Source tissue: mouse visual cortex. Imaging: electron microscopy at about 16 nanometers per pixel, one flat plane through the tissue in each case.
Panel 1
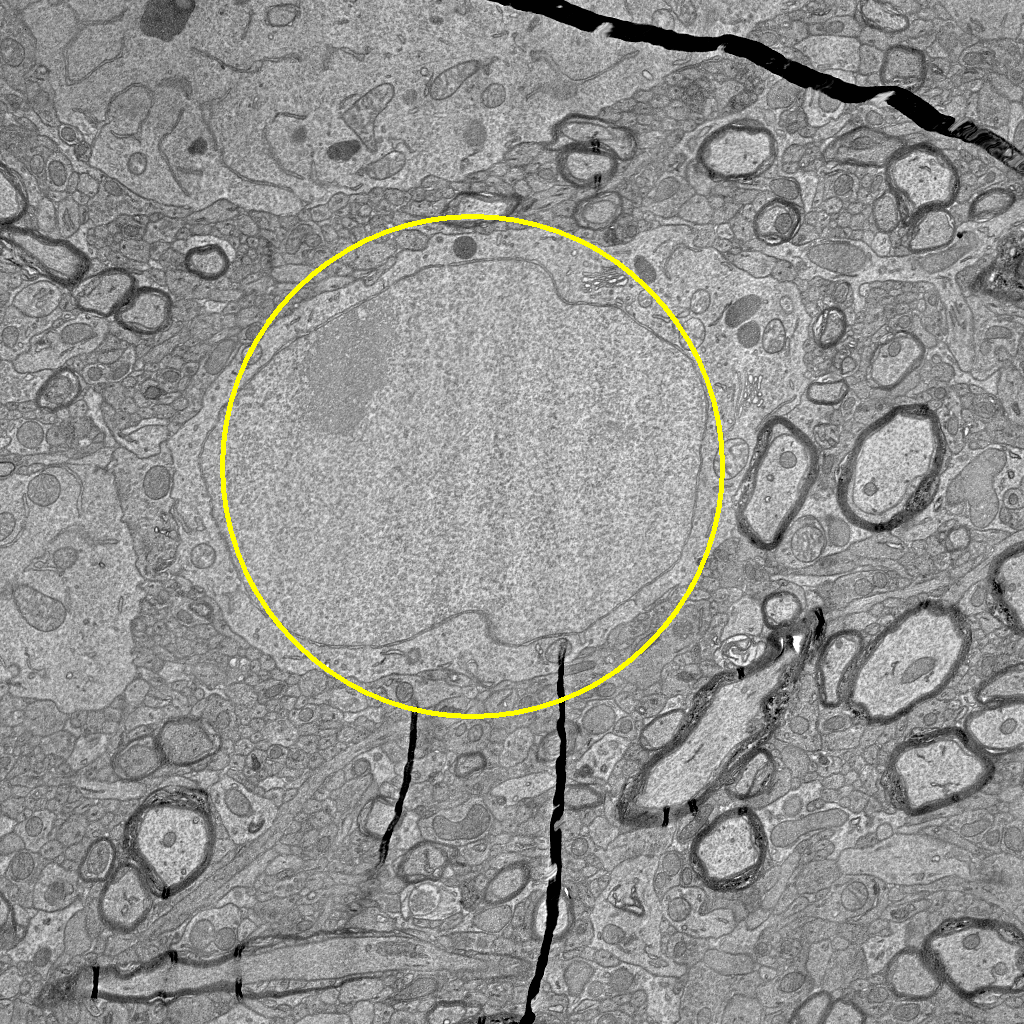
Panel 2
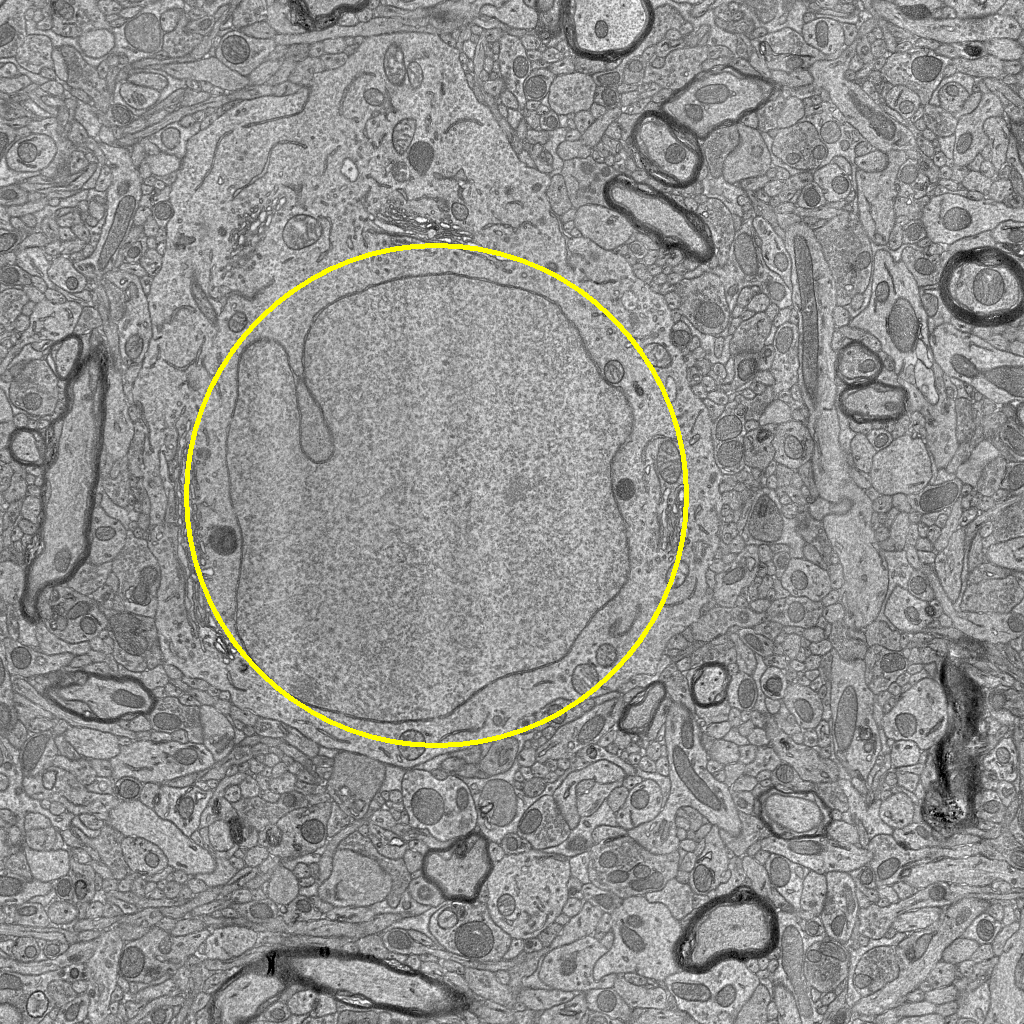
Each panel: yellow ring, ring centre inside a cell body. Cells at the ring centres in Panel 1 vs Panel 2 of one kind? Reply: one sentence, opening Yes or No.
Yes, Panel 1 and Panel 2 have cells of one kind at the ring centres.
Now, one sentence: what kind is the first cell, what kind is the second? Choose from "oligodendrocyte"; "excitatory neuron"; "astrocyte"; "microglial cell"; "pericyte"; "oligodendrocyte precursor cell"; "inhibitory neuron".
Each of the two rings surrounds an excitatory neuron.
